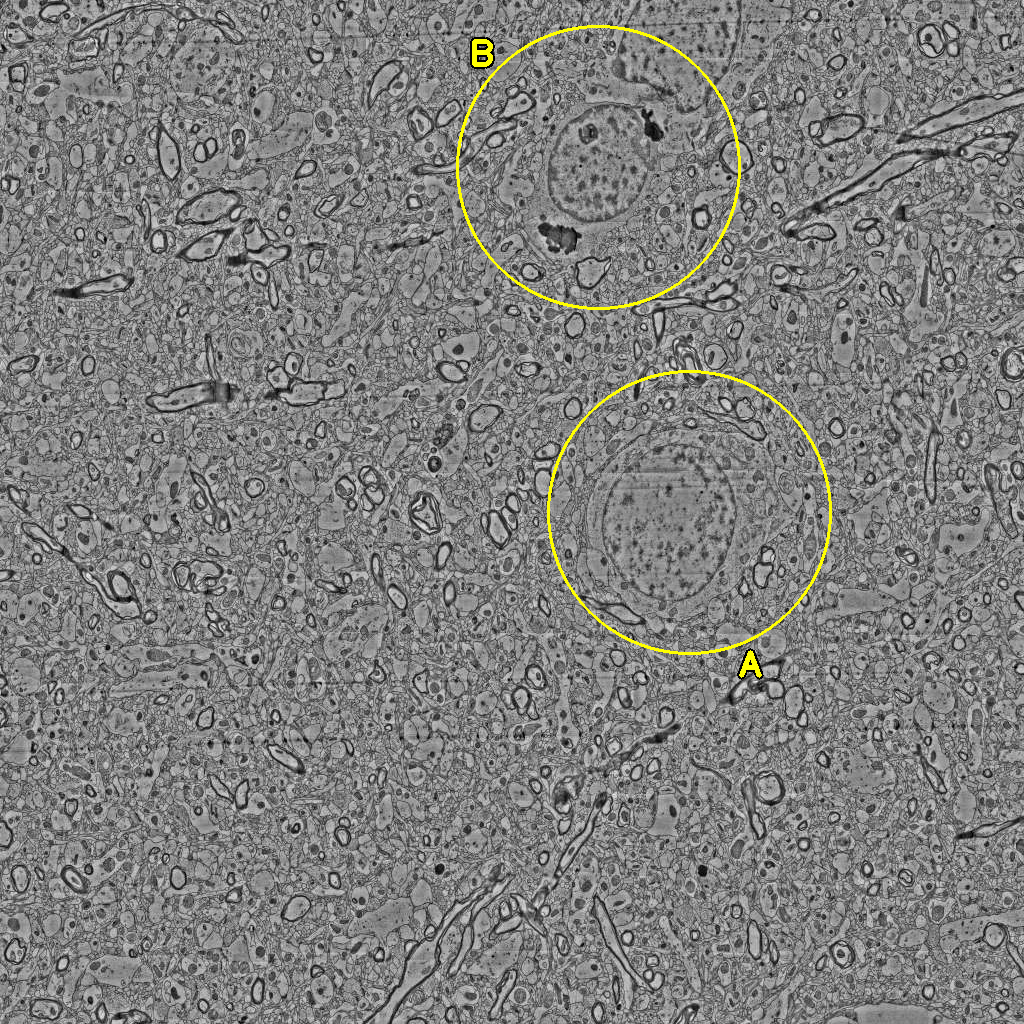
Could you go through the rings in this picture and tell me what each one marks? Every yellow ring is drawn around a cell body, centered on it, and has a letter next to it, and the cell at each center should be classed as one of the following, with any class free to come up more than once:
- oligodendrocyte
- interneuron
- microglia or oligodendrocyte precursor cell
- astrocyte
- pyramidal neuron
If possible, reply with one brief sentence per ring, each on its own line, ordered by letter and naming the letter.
The cell centered in ring A is an interneuron.
The cell centered in ring B is an oligodendrocyte.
